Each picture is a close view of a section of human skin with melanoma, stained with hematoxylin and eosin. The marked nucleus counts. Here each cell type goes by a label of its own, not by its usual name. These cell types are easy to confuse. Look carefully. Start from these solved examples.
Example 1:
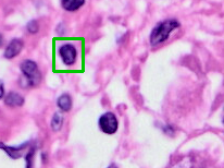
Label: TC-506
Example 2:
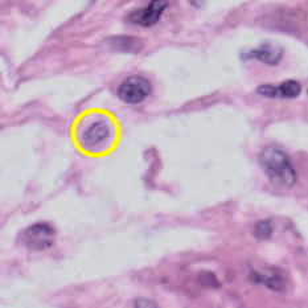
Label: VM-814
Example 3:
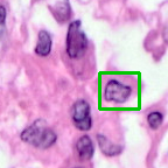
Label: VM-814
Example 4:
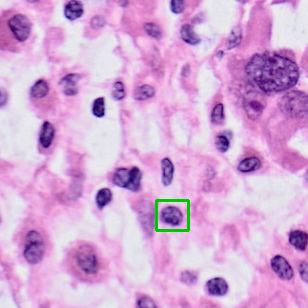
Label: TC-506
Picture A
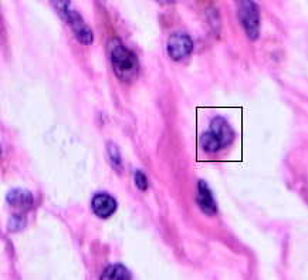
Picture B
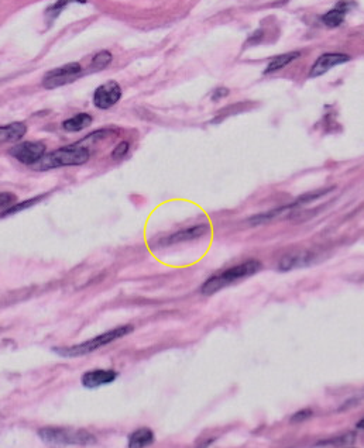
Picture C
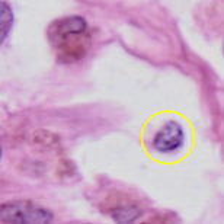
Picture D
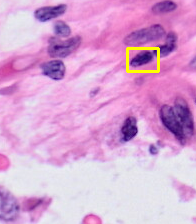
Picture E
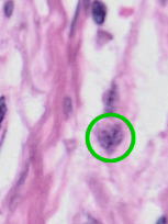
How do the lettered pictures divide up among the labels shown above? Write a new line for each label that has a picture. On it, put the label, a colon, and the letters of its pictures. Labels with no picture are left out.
TC-506: C, D
VM-814: A, B, E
